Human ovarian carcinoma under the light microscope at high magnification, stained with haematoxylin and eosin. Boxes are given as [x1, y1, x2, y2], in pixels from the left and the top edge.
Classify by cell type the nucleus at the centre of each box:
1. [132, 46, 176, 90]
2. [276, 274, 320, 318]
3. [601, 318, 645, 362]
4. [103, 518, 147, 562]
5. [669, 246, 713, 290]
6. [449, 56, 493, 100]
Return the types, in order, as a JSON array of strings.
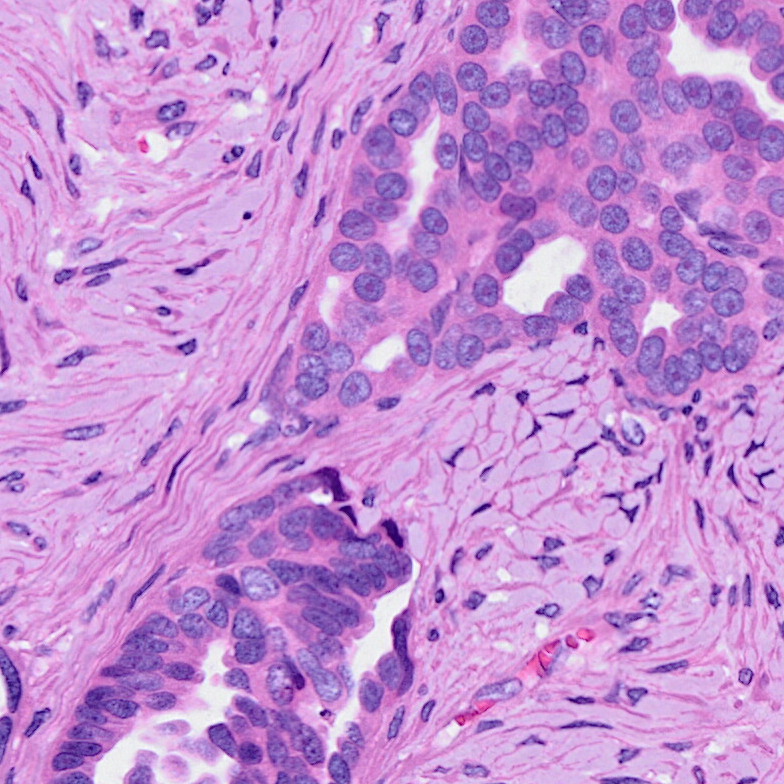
["fibroblast", "fibroblast", "carcinoma cell", "fibroblast", "carcinoma cell", "carcinoma cell"]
